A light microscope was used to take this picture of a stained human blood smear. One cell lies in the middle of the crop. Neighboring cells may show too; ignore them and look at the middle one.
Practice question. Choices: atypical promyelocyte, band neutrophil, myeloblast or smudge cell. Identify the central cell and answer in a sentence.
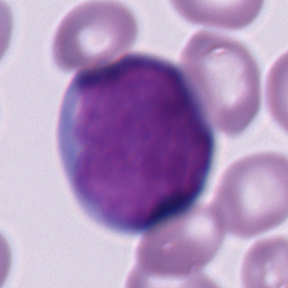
Where the crop is centred, there is a myeloblast.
